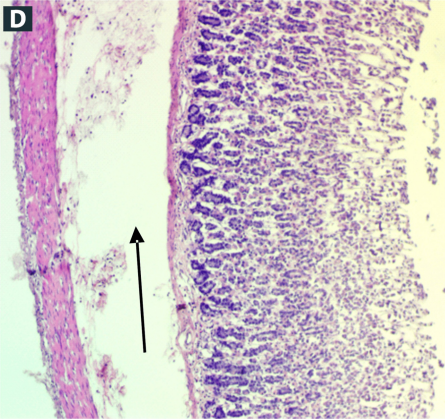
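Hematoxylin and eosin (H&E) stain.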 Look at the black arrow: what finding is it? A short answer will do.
Submucosal edema.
